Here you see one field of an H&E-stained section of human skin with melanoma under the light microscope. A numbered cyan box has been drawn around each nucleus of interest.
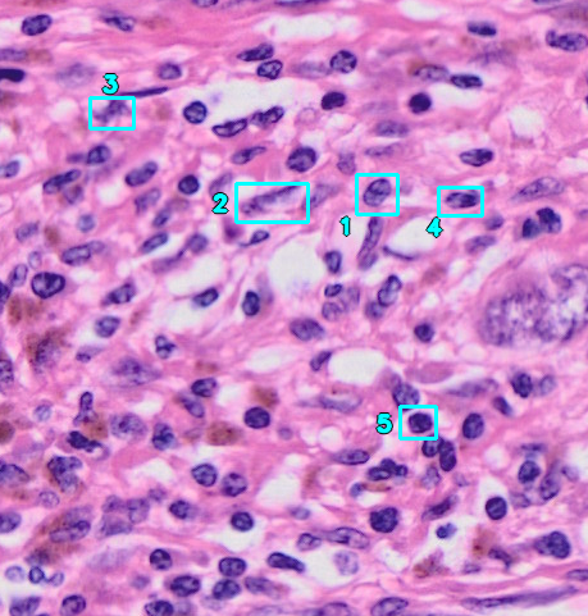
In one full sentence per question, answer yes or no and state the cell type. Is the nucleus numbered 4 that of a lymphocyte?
Yes, the number 4 belongs to a lymphocyte.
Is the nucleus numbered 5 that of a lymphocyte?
Yes, so the cell at label 5 is a lymphocyte.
